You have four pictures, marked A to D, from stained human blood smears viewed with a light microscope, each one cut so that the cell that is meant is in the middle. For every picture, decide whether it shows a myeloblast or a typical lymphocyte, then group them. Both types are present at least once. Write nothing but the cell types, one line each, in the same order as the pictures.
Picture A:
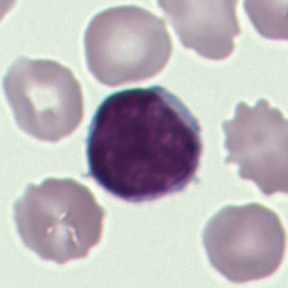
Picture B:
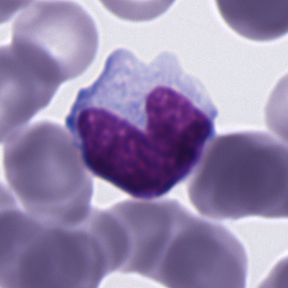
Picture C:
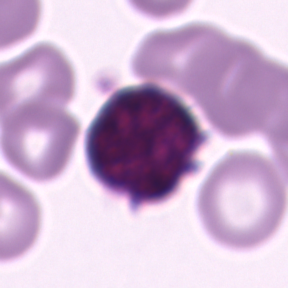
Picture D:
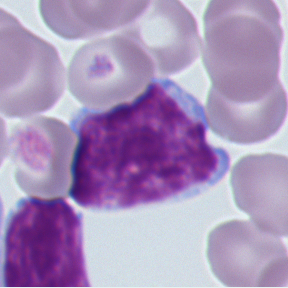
typical lymphocyte
typical lymphocyte
myeloblast
typical lymphocyte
